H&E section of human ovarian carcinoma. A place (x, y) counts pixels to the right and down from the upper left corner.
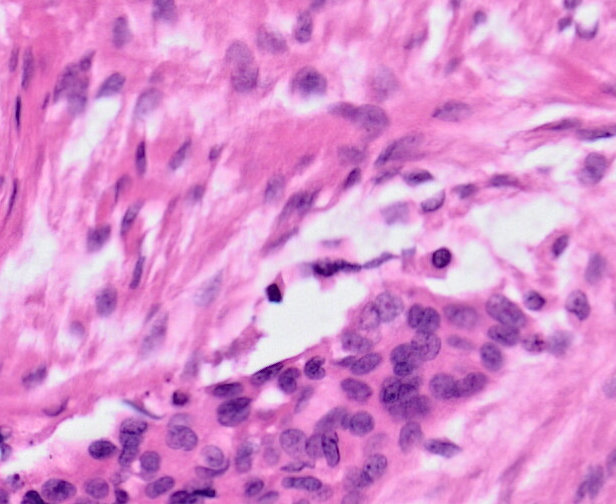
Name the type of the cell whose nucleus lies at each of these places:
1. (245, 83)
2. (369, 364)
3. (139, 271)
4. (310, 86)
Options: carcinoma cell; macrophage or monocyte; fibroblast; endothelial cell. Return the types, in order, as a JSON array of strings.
["fibroblast", "carcinoma cell", "fibroblast", "fibroblast"]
